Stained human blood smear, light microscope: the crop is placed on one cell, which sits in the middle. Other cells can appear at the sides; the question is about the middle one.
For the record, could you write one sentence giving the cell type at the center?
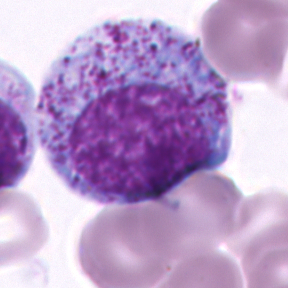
Centrally within this crop lies a promyelocyte.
